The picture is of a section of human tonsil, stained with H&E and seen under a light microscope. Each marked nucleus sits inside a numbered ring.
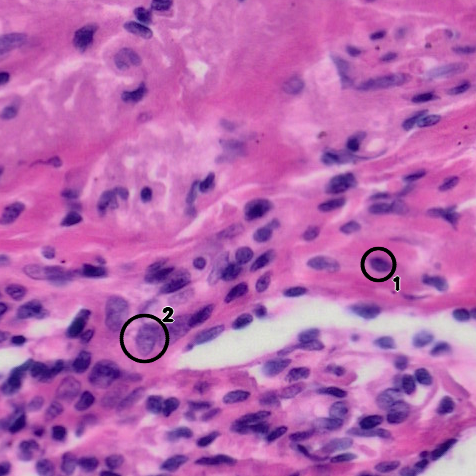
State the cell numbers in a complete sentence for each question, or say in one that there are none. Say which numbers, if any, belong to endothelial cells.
Among all the marked cells, an endothelial cell is found only at number 2.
